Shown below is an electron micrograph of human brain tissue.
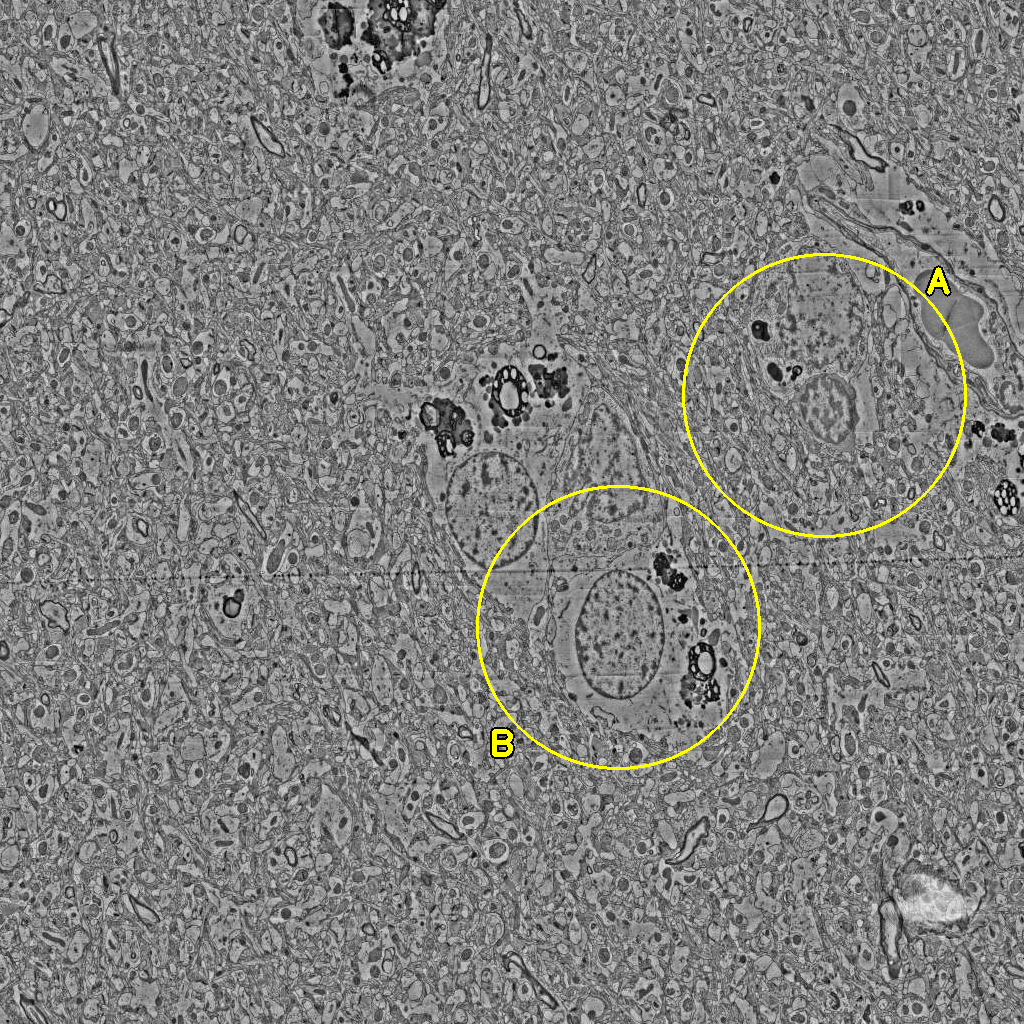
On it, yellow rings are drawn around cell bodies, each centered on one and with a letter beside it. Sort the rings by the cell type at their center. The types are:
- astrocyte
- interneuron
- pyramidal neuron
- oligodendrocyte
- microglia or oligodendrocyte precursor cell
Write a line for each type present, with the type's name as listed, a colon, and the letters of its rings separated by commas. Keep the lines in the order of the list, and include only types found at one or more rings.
astrocyte: B
oligodendrocyte: A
